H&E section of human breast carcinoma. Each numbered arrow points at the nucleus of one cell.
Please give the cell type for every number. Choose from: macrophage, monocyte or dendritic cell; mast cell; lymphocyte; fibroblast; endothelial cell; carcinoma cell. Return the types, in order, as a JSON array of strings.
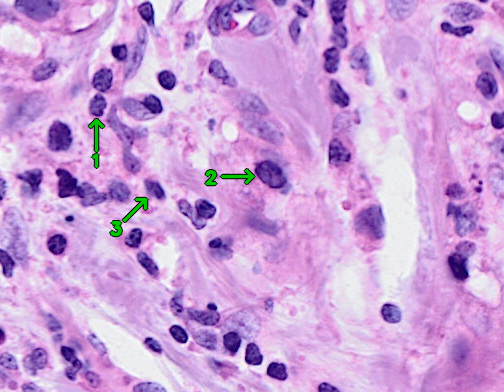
["lymphocyte", "carcinoma cell", "lymphocyte"]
